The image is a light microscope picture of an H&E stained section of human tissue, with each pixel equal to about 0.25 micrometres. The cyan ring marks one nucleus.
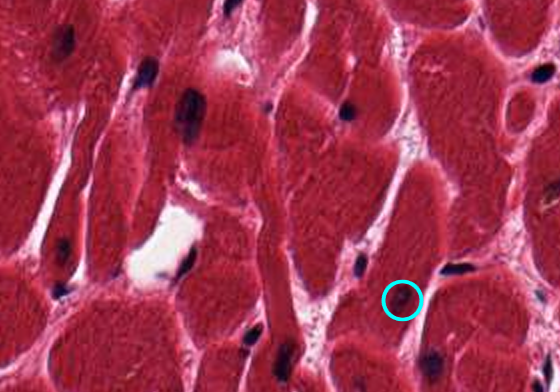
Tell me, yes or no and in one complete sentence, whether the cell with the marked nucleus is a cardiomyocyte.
Yes, the marked nucleus is contained in a cardiomyocyte.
